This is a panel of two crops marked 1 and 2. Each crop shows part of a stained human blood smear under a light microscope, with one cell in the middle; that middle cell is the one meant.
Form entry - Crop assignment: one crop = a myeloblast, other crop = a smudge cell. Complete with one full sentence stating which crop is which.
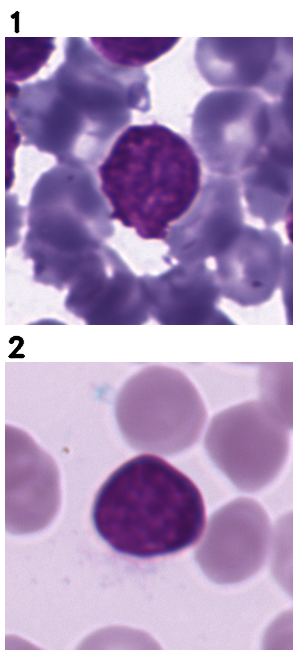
Respectively, crops 1 and 2 show a myeloblast and a smudge cell.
